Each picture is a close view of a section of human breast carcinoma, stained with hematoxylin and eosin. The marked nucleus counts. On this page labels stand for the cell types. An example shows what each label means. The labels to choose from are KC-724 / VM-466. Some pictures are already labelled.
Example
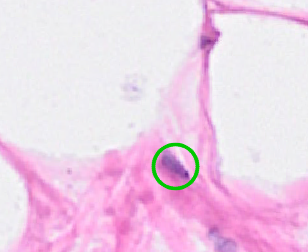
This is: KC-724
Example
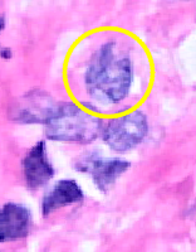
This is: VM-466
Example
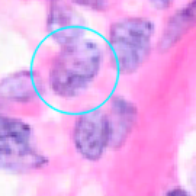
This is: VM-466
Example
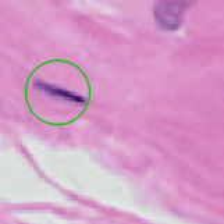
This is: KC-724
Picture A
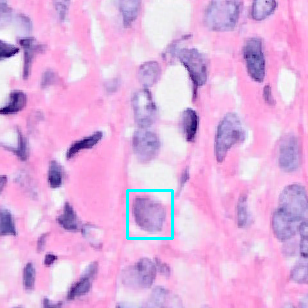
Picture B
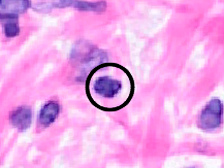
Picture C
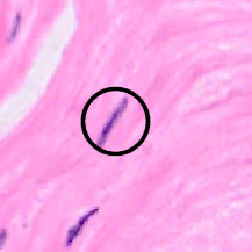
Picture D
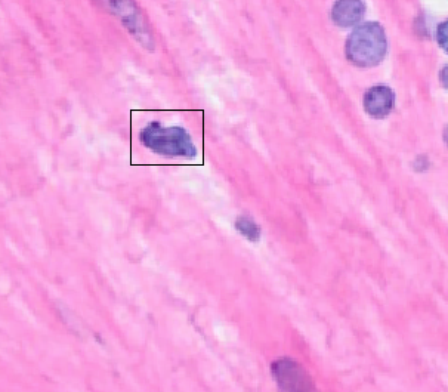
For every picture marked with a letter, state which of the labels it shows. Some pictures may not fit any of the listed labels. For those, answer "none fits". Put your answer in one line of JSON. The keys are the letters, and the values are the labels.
{"A": "VM-466", "B": "none fits", "C": "KC-724", "D": "none fits"}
